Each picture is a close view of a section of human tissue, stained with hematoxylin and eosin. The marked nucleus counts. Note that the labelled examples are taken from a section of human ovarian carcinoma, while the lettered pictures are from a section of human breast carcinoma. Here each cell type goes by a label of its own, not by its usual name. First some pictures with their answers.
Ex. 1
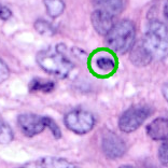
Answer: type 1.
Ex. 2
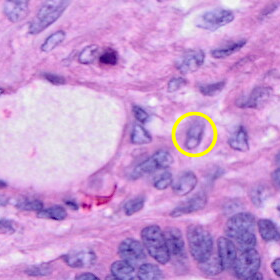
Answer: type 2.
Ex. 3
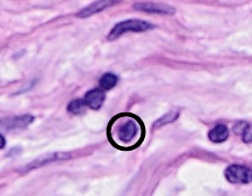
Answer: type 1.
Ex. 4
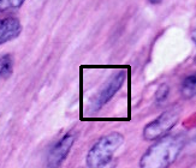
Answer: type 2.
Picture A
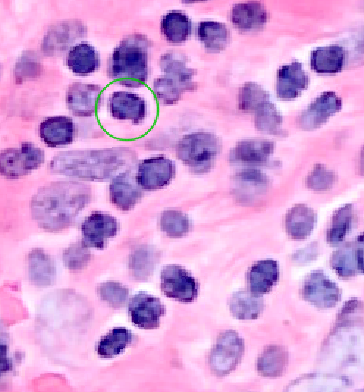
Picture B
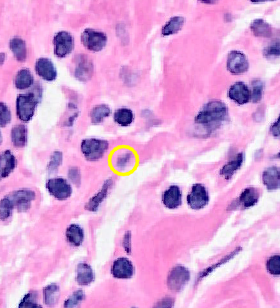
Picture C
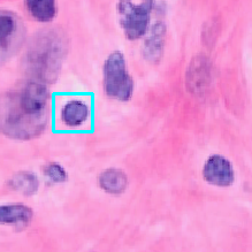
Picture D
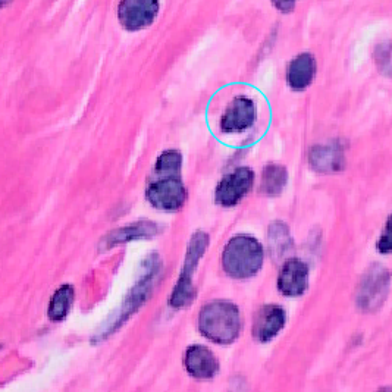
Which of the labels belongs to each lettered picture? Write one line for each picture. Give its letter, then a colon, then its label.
A: type 1.
B: type 1.
C: type 1.
D: type 1.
